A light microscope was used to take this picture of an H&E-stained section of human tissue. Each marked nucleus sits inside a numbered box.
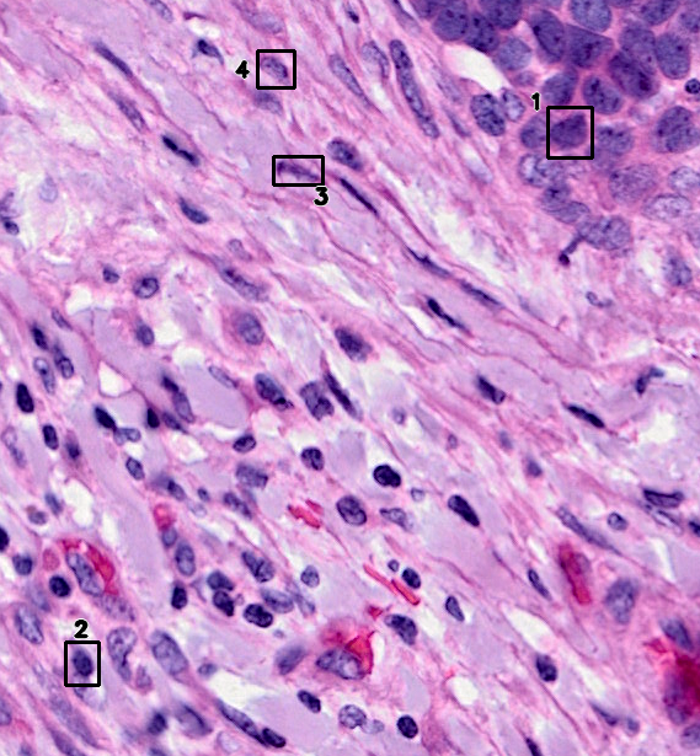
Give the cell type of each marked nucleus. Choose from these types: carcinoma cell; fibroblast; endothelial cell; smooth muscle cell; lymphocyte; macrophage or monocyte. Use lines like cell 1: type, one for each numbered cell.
cell 1: carcinoma cell
cell 2: lymphocyte
cell 3: fibroblast
cell 4: fibroblast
